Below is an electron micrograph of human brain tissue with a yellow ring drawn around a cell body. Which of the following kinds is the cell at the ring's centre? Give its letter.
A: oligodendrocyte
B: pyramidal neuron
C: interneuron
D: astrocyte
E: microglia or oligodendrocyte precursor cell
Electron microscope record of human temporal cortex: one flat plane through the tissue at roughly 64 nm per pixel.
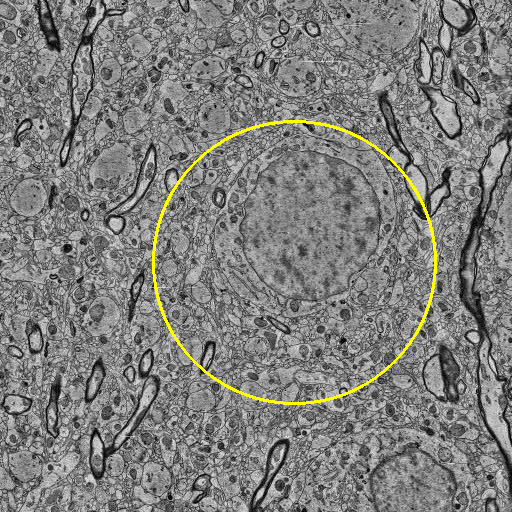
C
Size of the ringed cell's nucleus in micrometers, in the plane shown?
About 10 micrometers across, in this plane.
